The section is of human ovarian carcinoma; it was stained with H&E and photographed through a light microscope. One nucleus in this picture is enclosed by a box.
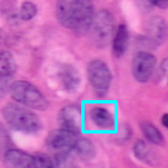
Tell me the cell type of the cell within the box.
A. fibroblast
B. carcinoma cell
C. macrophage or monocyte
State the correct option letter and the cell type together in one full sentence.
The correct option is C, as the cell within the box is a macrophage or monocyte.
